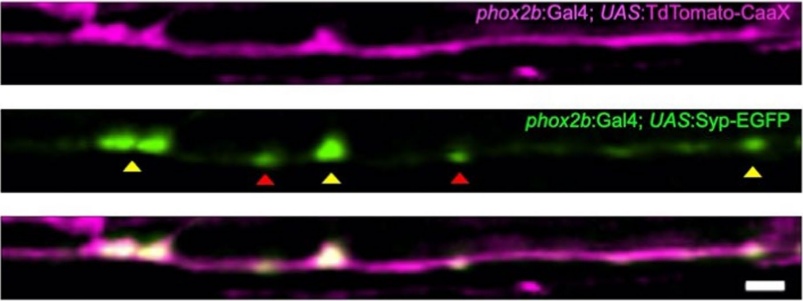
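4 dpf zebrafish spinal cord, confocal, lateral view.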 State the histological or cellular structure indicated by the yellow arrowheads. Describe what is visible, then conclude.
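The yellow arrowheads point to bright green puncta. These puncta sit at swellings of the thin magenta fibre. The answer: axon varicosities.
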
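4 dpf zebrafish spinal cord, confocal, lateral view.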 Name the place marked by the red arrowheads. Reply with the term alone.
Intervening segments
